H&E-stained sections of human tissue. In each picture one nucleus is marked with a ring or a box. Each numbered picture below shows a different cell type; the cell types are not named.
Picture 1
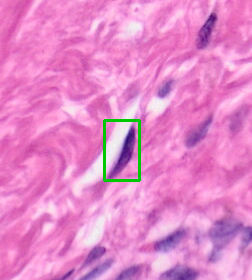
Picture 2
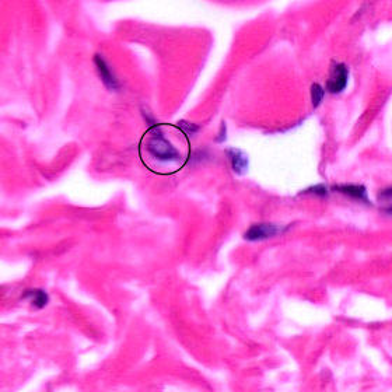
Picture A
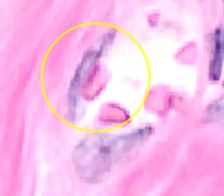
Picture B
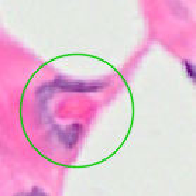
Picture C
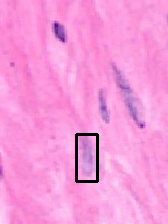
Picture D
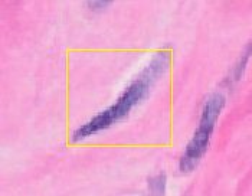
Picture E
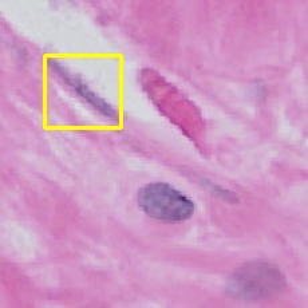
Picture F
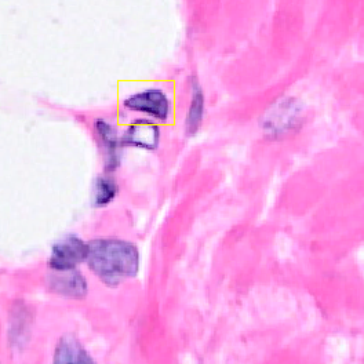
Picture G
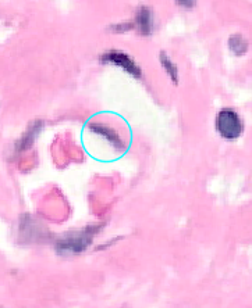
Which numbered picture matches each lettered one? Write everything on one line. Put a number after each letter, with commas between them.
A 2, B 2, C 1, D 1, E 2, F 2, G 2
